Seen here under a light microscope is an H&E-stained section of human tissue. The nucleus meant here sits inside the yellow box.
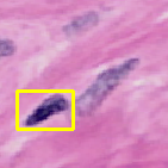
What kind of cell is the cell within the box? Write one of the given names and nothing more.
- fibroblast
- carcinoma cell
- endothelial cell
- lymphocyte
lymphocyte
